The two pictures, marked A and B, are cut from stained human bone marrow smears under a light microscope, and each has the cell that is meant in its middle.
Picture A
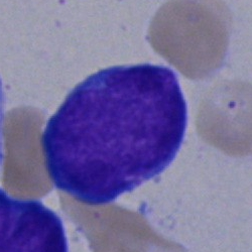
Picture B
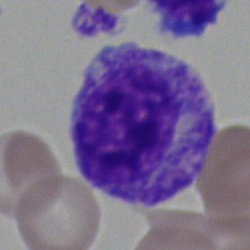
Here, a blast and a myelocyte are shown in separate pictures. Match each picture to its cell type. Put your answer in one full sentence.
It is picture A that shows a blast, and picture B that shows a myelocyte.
